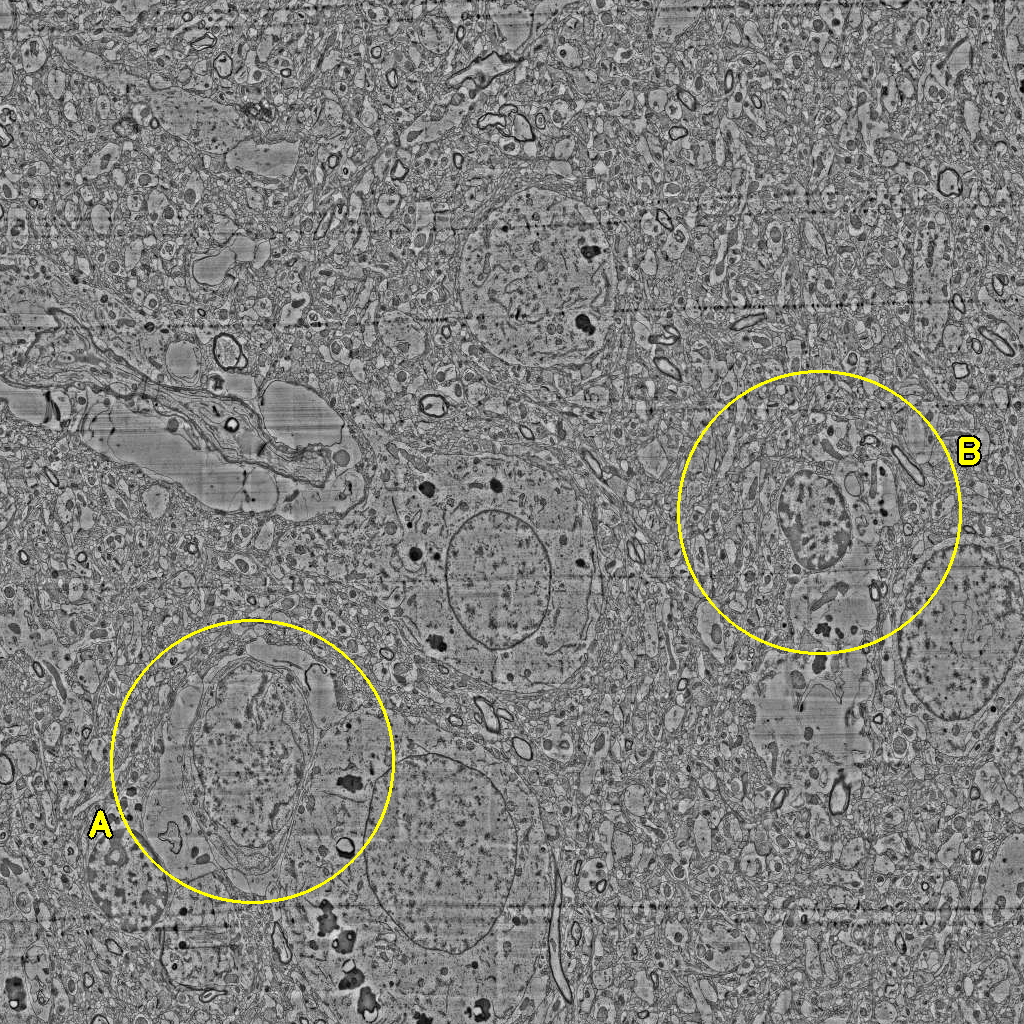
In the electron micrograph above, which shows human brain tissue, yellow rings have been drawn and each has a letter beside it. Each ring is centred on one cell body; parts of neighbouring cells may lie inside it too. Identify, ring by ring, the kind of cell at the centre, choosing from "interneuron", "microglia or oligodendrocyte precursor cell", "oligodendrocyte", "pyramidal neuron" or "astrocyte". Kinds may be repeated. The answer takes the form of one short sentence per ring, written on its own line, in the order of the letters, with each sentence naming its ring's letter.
Inside ring A, at its centre, is an interneuron.
Inside ring B, at its centre, is a microglial cell or oligodendrocyte precursor cell.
